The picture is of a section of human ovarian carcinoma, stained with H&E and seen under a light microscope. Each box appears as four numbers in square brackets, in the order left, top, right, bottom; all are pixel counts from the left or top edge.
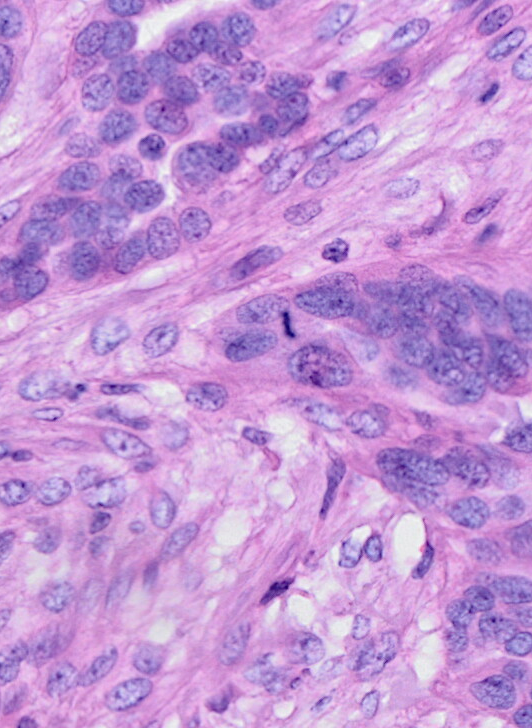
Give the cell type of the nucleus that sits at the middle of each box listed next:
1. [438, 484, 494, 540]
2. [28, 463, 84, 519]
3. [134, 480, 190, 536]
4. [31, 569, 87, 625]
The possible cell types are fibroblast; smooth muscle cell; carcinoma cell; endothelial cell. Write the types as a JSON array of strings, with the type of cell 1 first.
["carcinoma cell", "fibroblast", "fibroblast", "fibroblast"]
